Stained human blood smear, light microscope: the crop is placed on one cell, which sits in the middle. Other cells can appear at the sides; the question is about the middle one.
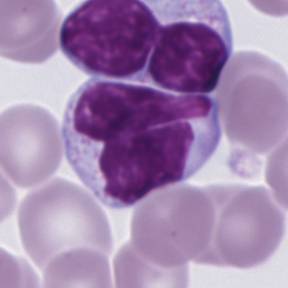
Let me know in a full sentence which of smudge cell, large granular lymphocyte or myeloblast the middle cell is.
The middle cell in this particular crop is a large granular lymphocyte.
